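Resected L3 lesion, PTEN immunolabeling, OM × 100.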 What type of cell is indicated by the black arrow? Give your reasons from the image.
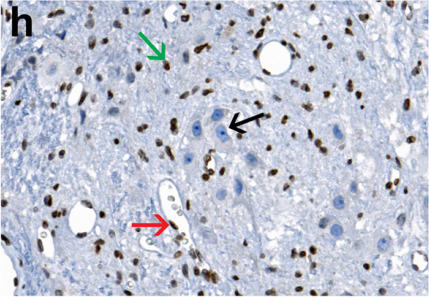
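Large cell with abundant pale cytoplasm. Round nucleus stained blue, not brown. Much larger than the surrounding brown nuclei.
Conclusion: ganglion cell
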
